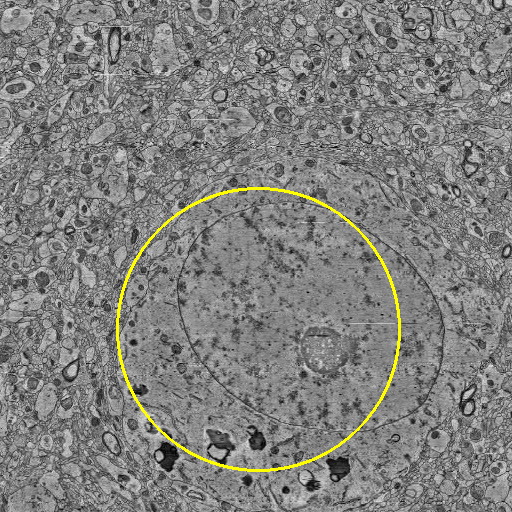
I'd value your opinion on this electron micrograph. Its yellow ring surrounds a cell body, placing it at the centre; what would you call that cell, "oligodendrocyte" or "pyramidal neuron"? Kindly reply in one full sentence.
It is a pyramidal neuron that sits centred within the yellow ring in this micrograph.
